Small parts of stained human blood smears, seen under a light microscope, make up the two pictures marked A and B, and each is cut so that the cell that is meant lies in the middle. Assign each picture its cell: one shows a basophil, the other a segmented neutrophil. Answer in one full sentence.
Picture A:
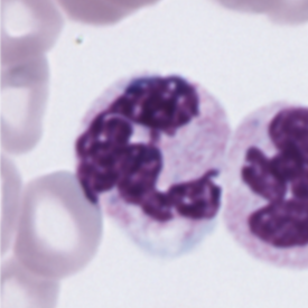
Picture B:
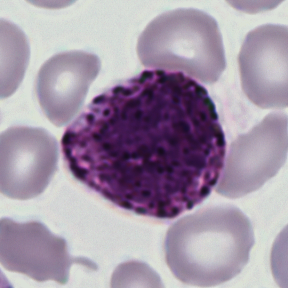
Picture B shows a basophil, while picture A shows a segmented neutrophil.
